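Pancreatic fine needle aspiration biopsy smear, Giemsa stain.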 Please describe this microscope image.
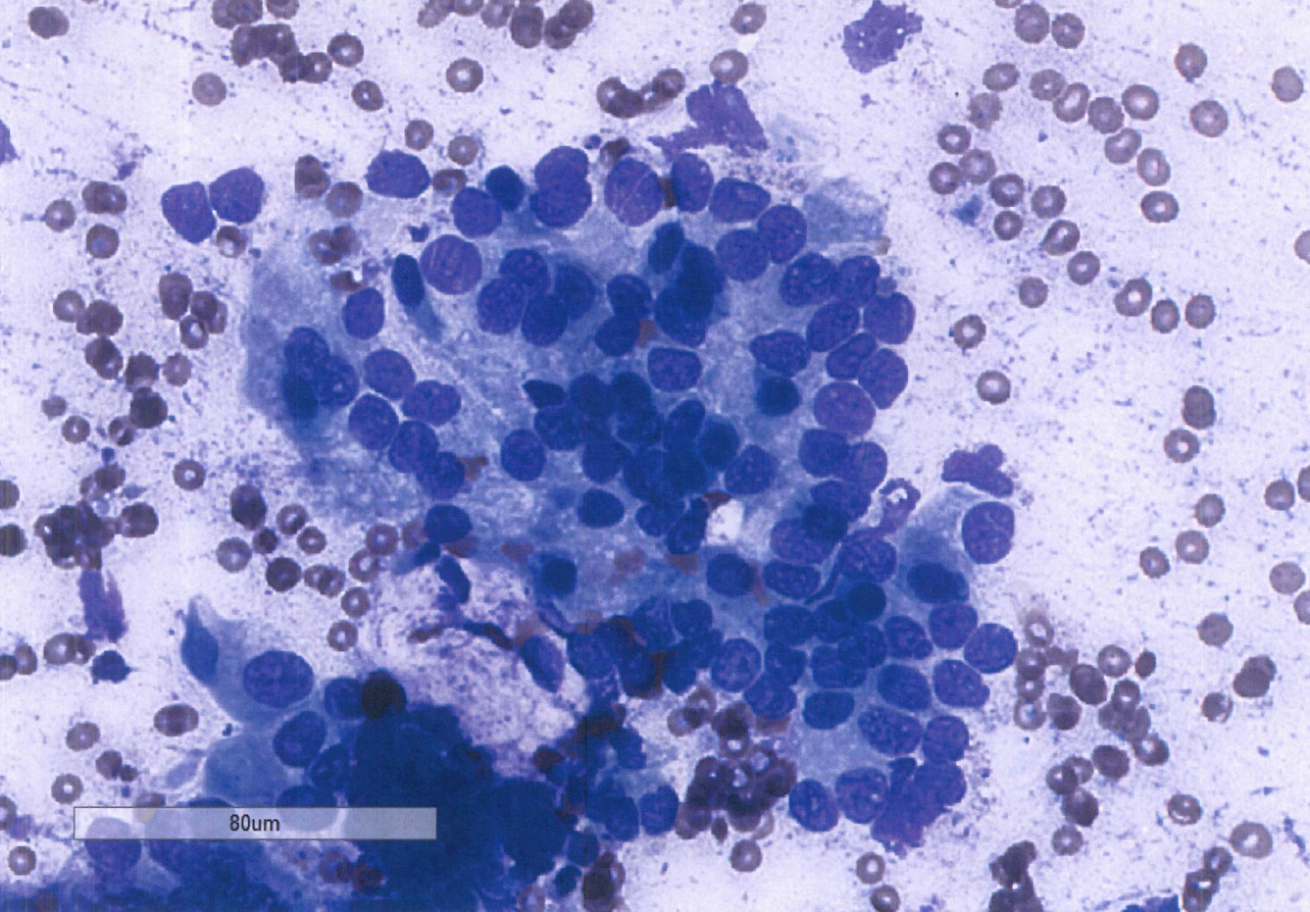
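A large, cohesive cluster of epithelial cells lies amid a background of scattered red blood cells. The cells are crowded and overlap, with loss of an orderly arrangement. Their nuclei are round to oval but vary in size, and some have irregular, indented contours. The chromatin is dark blue and coarse, and nucleoli are hard to make out. Each nucleus is set in a moderate amount of pale blue cytoplasm whose cell borders are indistinct, features that fit a cluster of malignant cells.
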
